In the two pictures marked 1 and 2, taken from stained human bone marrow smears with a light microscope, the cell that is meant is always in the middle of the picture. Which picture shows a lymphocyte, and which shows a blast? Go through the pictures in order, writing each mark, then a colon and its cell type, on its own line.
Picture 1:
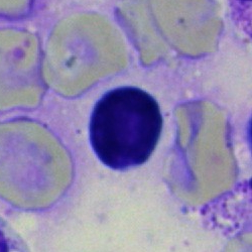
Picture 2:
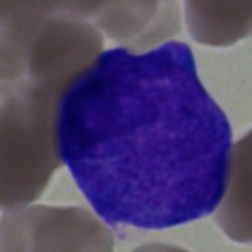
1: lymphocyte
2: blast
